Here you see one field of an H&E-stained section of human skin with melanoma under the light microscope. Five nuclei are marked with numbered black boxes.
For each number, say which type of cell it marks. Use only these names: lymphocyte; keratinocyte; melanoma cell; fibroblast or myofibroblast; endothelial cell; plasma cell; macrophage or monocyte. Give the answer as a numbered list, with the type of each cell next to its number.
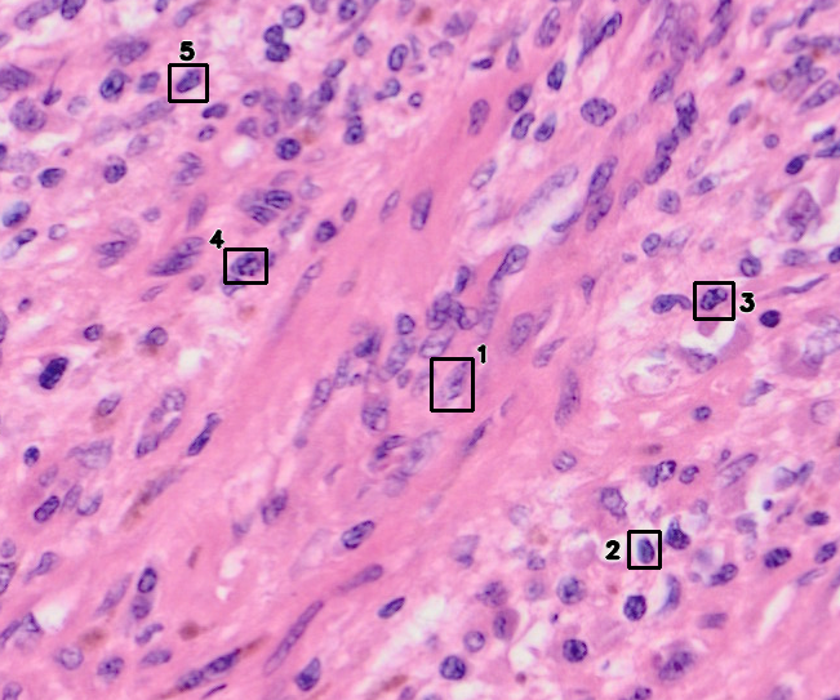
1. endothelial cell
2. lymphocyte
3. plasma cell
4. plasma cell
5. lymphocyte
